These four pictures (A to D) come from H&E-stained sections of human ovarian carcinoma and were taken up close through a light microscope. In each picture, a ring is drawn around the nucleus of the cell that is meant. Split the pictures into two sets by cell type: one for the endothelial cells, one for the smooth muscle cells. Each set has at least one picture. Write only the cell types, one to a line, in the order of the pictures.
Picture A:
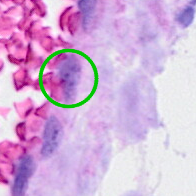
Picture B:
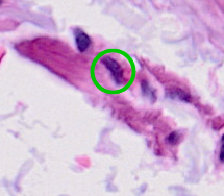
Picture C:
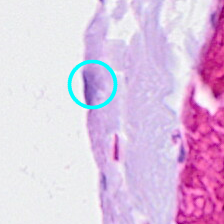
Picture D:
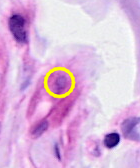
endothelial cell
endothelial cell
endothelial cell
smooth muscle cell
